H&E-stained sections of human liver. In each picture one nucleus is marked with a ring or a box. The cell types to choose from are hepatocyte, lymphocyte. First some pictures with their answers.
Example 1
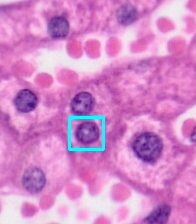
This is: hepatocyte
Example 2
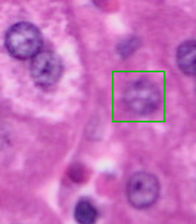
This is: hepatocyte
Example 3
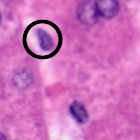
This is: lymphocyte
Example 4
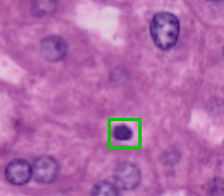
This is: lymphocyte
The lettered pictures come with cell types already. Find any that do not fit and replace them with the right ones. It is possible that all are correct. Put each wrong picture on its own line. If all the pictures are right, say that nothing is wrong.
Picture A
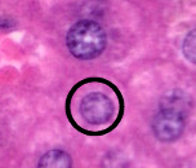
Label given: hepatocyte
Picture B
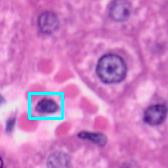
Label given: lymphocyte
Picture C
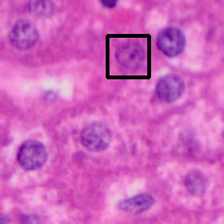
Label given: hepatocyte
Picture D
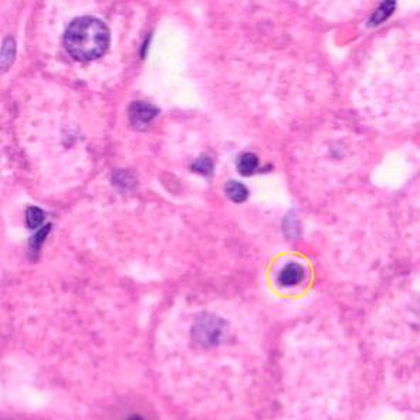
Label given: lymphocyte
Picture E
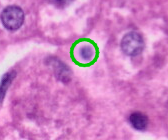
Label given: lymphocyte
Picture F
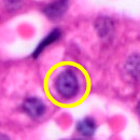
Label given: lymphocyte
Wrong: F (lymphocyte); correct: hepatocyte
